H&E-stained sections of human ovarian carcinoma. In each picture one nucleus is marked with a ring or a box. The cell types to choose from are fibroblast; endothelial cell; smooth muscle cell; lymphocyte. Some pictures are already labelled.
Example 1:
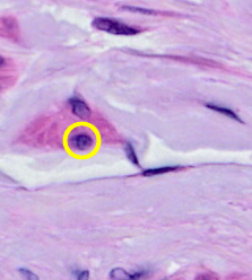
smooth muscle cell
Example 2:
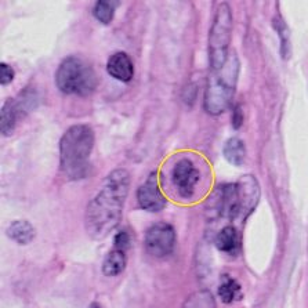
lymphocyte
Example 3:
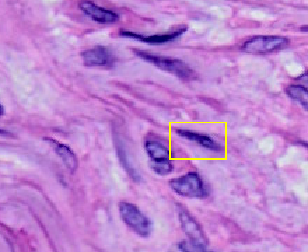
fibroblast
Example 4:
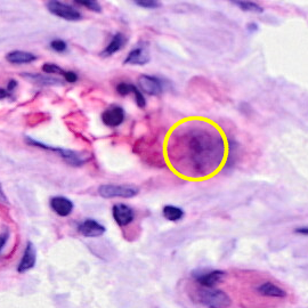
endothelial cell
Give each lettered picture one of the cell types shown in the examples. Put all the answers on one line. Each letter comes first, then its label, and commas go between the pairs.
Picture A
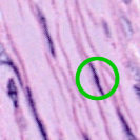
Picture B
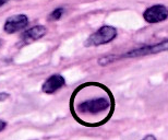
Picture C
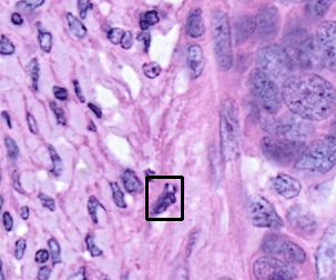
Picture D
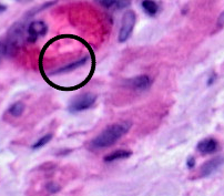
A fibroblast, B lymphocyte, C lymphocyte, D endothelial cell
